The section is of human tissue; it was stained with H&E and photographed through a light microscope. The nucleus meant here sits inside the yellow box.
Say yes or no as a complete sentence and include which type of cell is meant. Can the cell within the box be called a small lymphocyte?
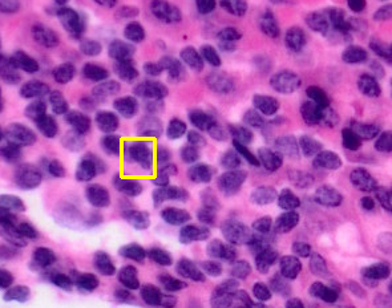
Yes, within this tissue section, the cell within the box is a small lymphocyte.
